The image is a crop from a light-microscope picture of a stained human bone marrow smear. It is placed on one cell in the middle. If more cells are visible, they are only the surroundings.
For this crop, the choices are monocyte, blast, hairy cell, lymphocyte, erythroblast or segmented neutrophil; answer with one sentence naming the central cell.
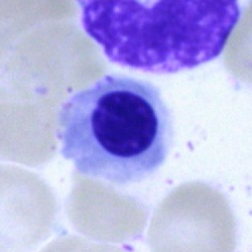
The cell of interest, located centrally, is an erythroblast.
